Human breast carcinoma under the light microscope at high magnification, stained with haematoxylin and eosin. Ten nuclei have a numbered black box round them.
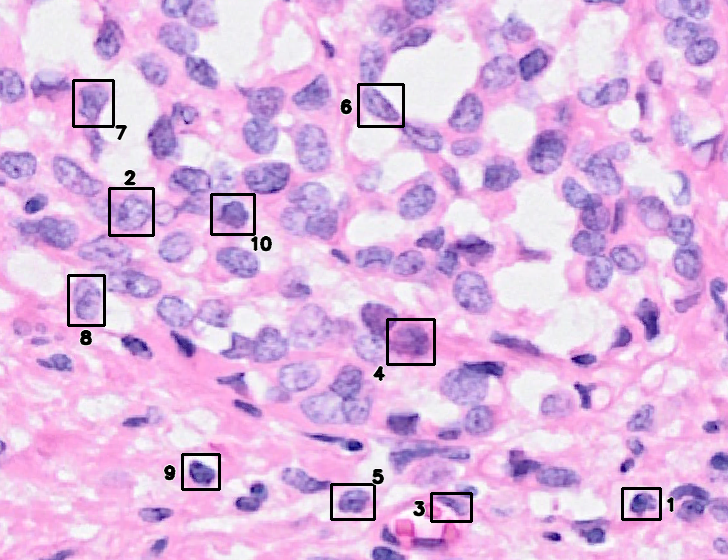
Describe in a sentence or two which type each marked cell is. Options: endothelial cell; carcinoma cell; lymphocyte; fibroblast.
Cell 1 is a lymphocyte, cell 2 is a carcinoma cell, cell 3 is an endothelial cell, cell 4 is a carcinoma cell, cell 5 is a lymphocyte, cell 6 is a carcinoma cell, cell 7 is a carcinoma cell, cell 8 is a carcinoma cell, cell 9 is a lymphocyte and cell 10 is a carcinoma cell.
